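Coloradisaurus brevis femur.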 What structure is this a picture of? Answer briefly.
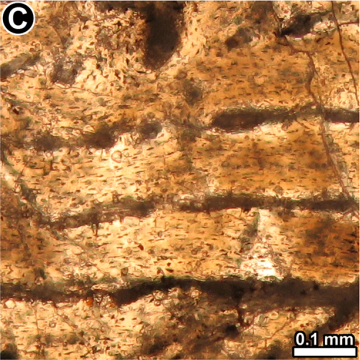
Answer: Osteocyte lacunae.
